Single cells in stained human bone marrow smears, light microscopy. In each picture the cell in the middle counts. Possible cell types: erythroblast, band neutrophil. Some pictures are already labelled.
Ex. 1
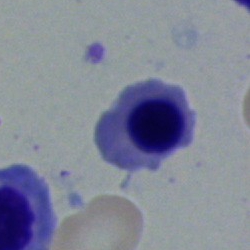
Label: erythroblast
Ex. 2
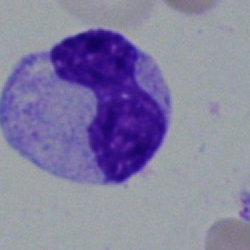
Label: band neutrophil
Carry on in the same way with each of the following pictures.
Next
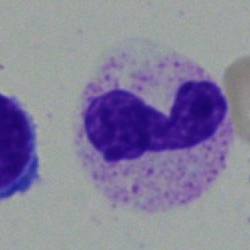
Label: band neutrophil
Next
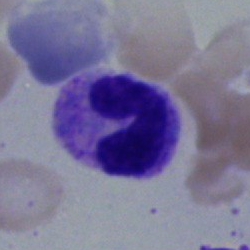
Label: band neutrophil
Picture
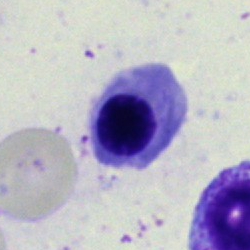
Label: erythroblast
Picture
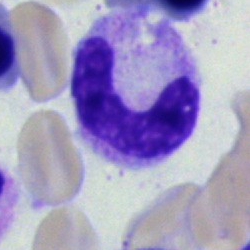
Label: band neutrophil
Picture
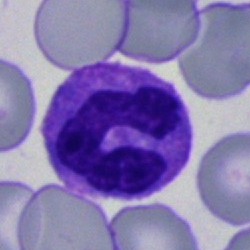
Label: band neutrophil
